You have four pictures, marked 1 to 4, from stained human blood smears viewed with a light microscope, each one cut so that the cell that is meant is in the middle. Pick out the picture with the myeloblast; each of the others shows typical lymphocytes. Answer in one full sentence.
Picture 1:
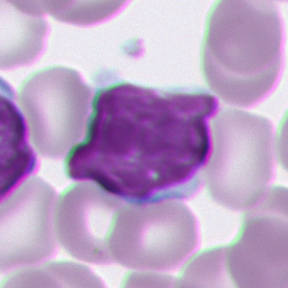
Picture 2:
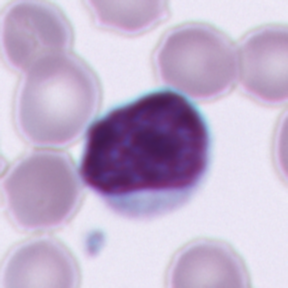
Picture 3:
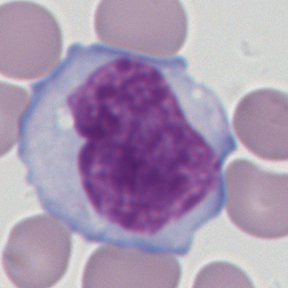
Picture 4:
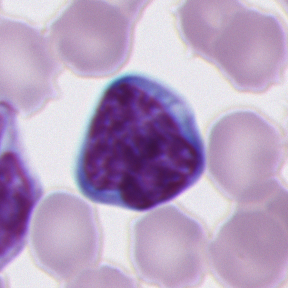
It is picture 3 that shows the myeloblast.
